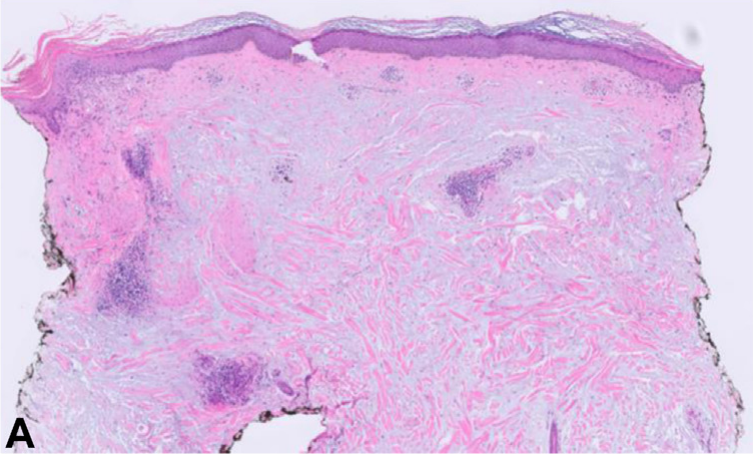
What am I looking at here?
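Low-power skin with a thin purple epidermis capped by pink keratin over a broad dermis. The dermal collagen bundles are widely separated by pale grey-blue wispy material. Dense purple clusters of small round cells lie at several depths in the dermis around vessels, and small collections sit just beneath the epidermis.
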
